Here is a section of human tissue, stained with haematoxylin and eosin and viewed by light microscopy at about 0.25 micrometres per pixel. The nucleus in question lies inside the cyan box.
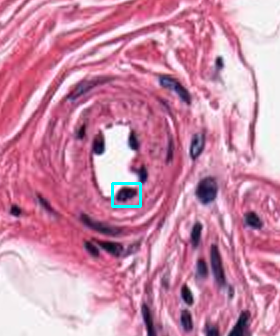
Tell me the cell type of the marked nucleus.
endothelial cell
